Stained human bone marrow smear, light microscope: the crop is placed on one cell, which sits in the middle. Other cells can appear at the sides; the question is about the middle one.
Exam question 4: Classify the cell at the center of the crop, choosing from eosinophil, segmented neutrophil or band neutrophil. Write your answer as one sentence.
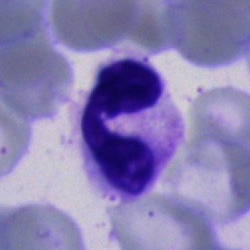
Centrally within this crop lies a segmented neutrophil.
